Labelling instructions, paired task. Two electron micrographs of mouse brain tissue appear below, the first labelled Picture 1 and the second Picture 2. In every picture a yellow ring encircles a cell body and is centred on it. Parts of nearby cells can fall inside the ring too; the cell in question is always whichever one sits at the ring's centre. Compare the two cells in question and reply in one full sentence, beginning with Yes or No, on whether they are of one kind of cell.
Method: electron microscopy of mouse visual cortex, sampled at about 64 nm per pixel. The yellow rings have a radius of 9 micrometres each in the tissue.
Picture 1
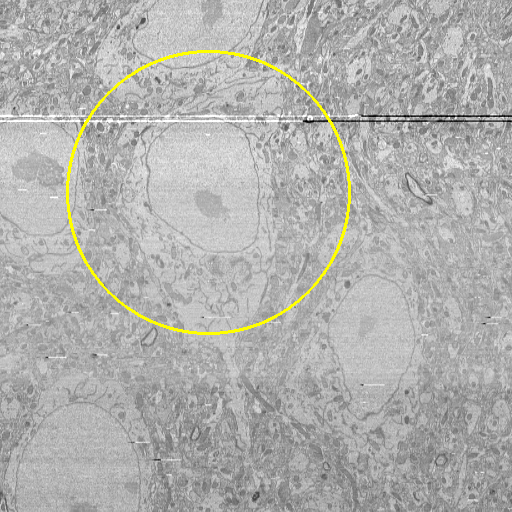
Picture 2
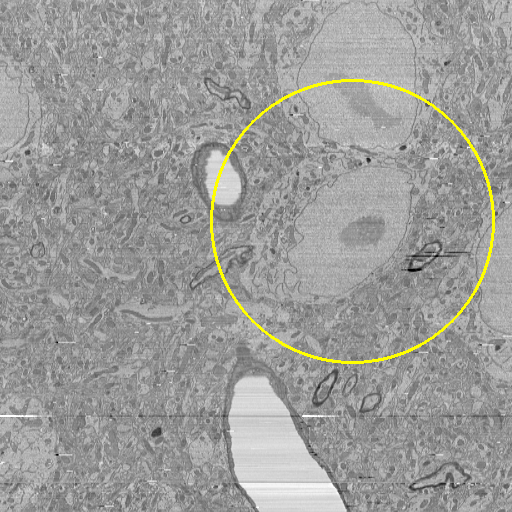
No, the two cells at the ring centres in Picture 1 and Picture 2 are of two kinds.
